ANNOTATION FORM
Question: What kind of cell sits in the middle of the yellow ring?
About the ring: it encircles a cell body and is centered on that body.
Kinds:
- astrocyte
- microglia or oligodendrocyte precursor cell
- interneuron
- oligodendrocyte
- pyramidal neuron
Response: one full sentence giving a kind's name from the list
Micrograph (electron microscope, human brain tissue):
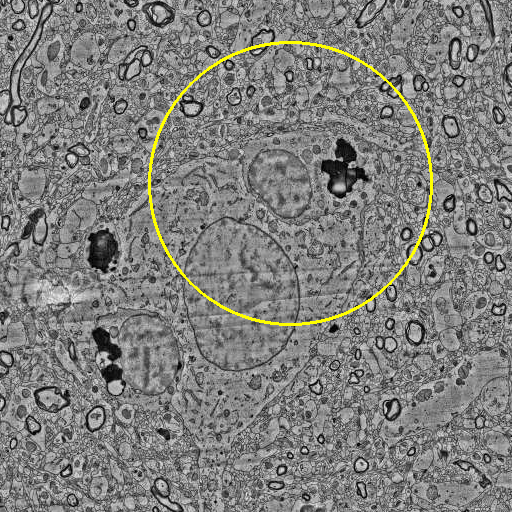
The kind of cell found at the center of the yellow ring in the micrograph is an oligodendrocyte.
